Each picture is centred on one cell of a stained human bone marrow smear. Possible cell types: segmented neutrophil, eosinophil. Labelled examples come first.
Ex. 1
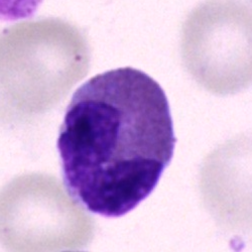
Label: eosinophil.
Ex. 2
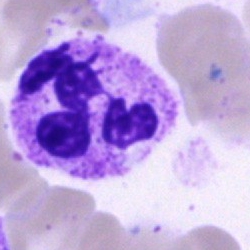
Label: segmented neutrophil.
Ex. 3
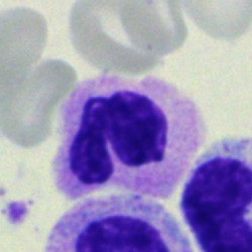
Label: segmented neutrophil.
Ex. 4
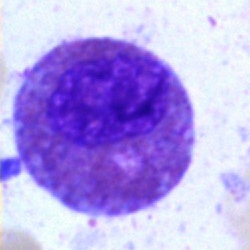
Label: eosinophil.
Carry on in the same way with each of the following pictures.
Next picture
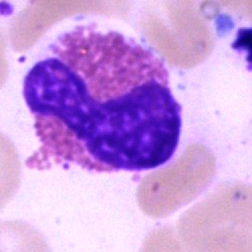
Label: eosinophil.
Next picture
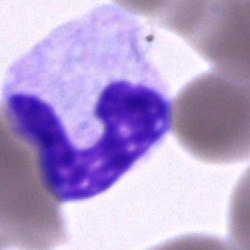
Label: segmented neutrophil.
